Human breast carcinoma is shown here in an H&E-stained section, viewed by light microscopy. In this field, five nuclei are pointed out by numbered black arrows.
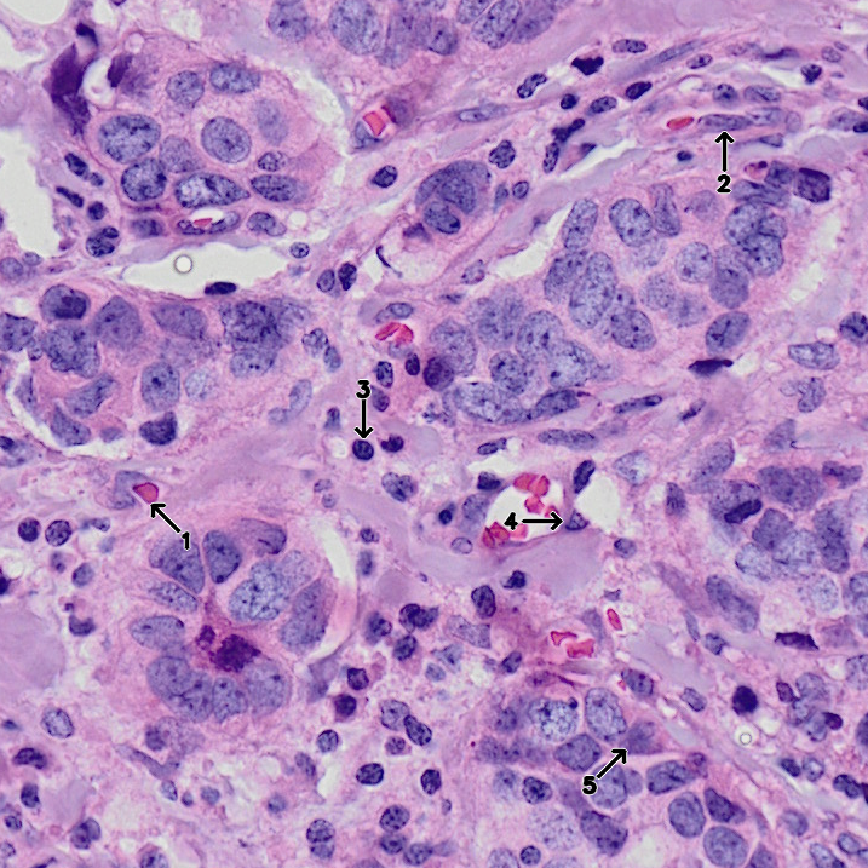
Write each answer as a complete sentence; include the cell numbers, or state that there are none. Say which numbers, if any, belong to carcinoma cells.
Cell 5 represents a carcinoma cell, and no other numbered cell does.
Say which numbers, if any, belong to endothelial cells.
The cells numbered 1, 2 and 4 are of one kind: endothelial cells.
